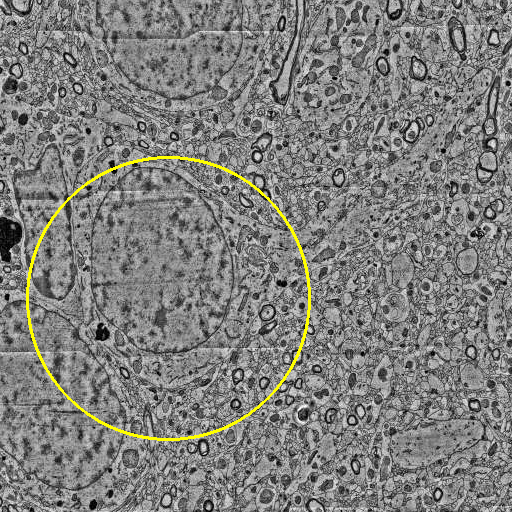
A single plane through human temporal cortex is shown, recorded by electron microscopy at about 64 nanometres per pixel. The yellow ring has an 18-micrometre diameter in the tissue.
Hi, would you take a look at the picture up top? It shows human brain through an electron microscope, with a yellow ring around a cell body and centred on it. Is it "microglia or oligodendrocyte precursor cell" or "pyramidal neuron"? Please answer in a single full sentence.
The best fit for the cell in the middle of the ring is a pyramidal neuron, I reckon.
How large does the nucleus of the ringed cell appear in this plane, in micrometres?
In this plane, roughly 12 by 9 micrometres.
